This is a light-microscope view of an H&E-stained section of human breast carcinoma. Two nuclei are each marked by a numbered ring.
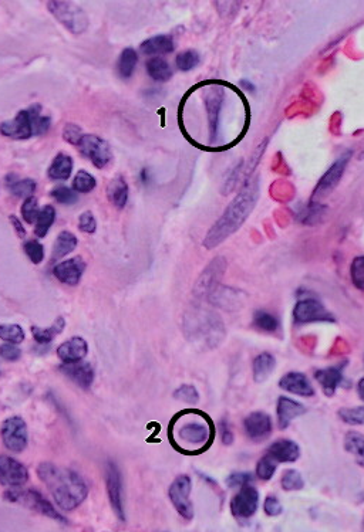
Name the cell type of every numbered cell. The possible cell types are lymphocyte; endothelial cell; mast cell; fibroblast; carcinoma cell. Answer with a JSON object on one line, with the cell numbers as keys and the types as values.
{"1": "fibroblast", "2": "lymphocyte"}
